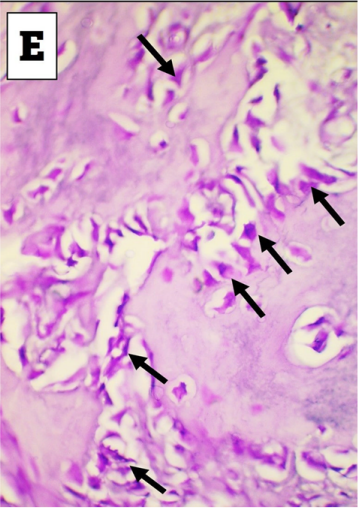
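Forming bone trabeculae of pale pink to lilac matrix are bordered by many plump osteoblasts. The osteoblasts have dark purple nuclei and lie in rows along the trabecular edges, some crowded in the spaces between trabeculae.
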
